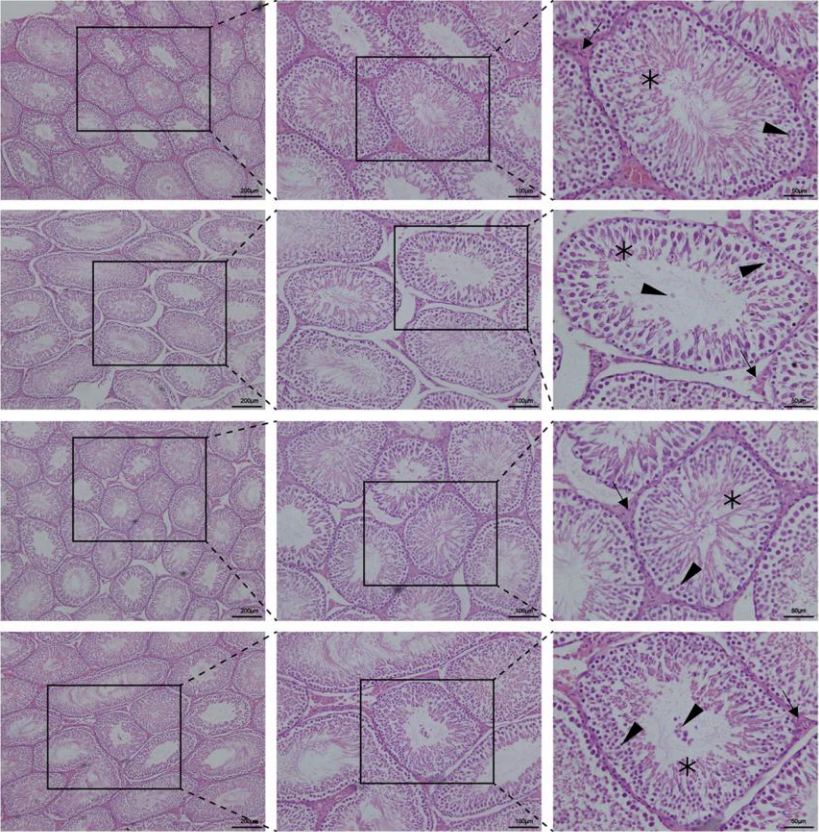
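This is a section of testis in which many seminiferous tubules are cut across, each appearing as a round or oval profile with a thick, layered wall around a central lumen. The wall is a stratified epithelium of spermatogenic cells with round, purple-stained nuclei, packed in several layers from the outer edge toward the center. Near the lumen, pale pink, thread-like material radiates inward, giving the center a streaked appearance. Between the tubules lie narrow interstitial spaces where a few small cells with dark nuclei can be found, the Leydig cells. At higher magnification, the epithelium can be seen to vary in thickness and the lumen in width from one tubule to another.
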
